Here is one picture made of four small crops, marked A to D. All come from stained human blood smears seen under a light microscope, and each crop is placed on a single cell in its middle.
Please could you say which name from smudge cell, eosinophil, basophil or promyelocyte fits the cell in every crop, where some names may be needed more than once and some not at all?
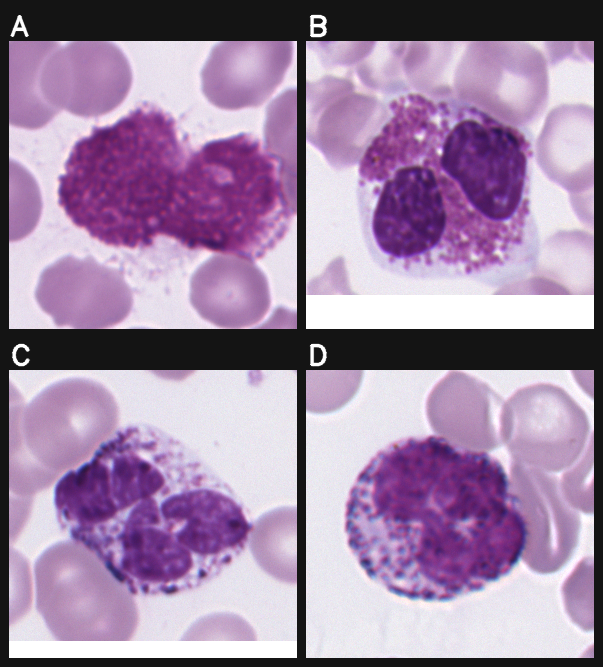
A: smudge cell
B: eosinophil
C: basophil
D: basophil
